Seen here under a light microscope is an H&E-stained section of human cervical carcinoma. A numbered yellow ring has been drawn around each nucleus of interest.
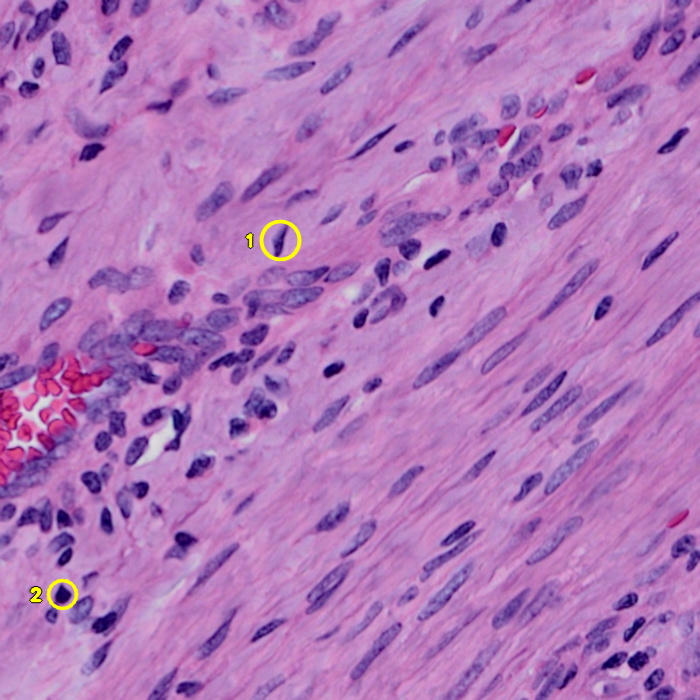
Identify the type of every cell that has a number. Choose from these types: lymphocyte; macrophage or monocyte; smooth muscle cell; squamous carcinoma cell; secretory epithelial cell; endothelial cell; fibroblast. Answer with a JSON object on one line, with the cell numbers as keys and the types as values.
{"1": "fibroblast", "2": "lymphocyte"}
